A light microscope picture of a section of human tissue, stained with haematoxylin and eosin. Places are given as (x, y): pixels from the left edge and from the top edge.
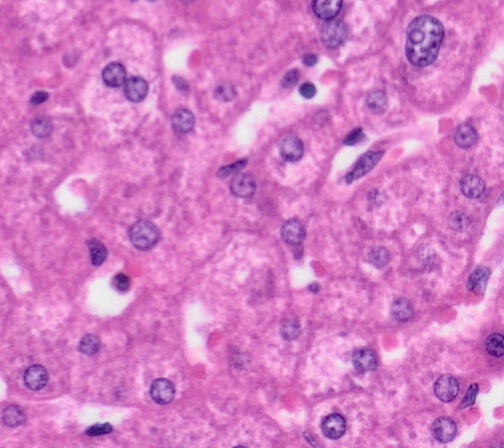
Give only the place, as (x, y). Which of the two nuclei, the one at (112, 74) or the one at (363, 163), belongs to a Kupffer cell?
(363, 163)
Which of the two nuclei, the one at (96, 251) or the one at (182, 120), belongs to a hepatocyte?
(182, 120)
